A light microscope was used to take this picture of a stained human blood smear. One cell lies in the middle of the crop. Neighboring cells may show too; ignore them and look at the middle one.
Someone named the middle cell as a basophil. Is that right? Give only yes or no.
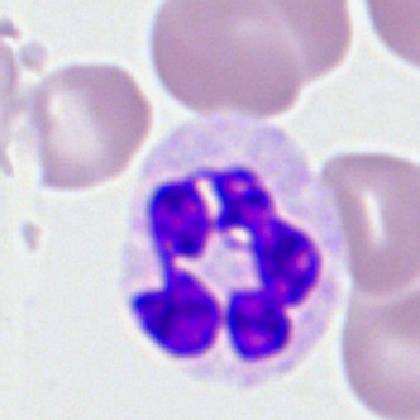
no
